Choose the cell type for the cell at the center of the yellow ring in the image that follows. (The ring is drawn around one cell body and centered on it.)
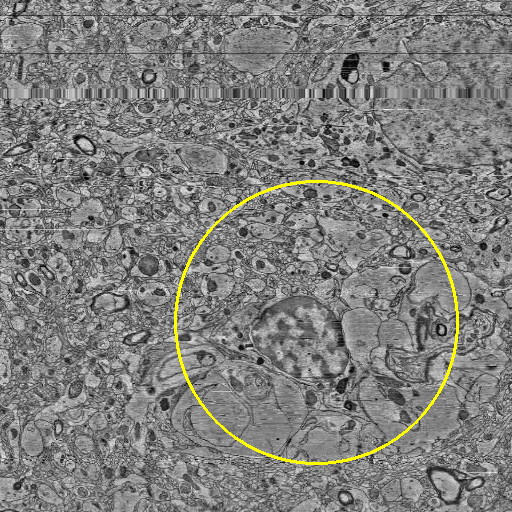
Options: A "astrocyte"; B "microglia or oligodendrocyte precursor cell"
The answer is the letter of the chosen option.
B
